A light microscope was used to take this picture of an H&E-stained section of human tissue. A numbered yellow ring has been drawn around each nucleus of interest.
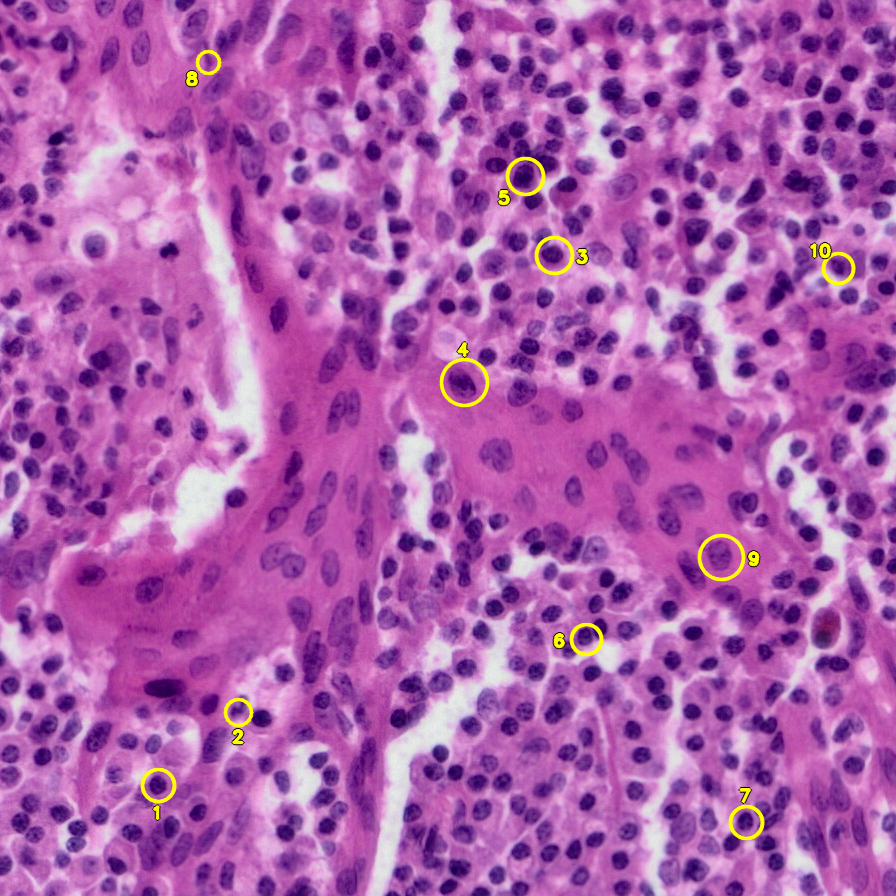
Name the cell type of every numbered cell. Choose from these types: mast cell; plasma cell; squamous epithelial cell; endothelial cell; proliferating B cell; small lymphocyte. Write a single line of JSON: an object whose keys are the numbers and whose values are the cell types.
{"1": "plasma cell", "2": "squamous epithelial cell", "3": "plasma cell", "4": "squamous epithelial cell", "5": "plasma cell", "6": "plasma cell", "7": "plasma cell", "8": "squamous epithelial cell", "9": "squamous epithelial cell", "10": "plasma cell"}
